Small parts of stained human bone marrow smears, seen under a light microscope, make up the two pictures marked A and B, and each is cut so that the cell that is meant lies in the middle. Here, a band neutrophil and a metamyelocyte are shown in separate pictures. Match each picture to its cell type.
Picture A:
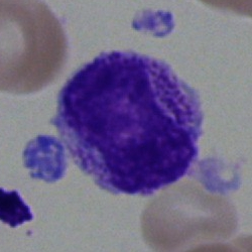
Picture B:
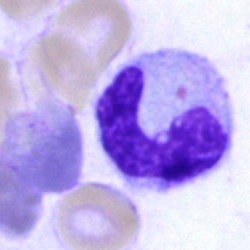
A: metamyelocyte
B: band neutrophil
